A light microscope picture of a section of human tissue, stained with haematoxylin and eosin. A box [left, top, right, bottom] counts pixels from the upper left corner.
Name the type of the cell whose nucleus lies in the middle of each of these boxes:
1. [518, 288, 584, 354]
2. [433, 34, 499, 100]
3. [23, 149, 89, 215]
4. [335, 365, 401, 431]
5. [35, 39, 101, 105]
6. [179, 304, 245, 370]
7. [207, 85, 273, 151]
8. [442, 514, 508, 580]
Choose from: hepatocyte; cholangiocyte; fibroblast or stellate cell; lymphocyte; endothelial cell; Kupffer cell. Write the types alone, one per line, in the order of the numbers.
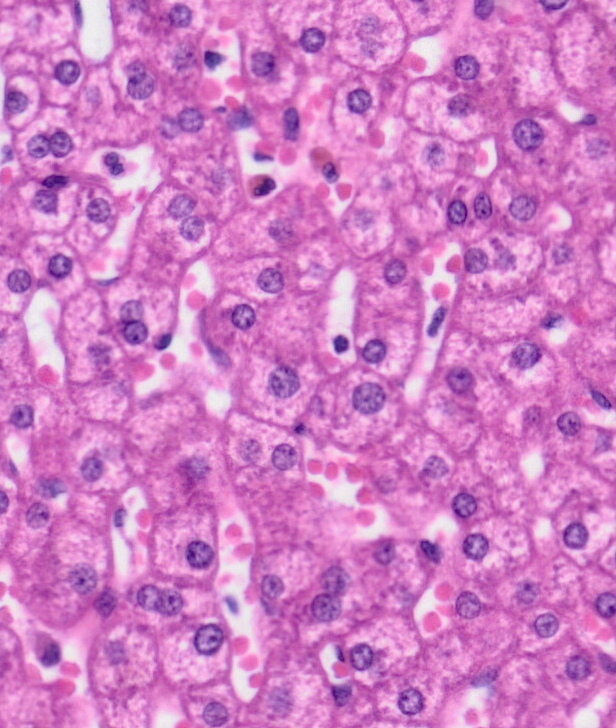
endothelial cell
hepatocyte
fibroblast or stellate cell
hepatocyte
hepatocyte
Kupffer cell
endothelial cell
hepatocyte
